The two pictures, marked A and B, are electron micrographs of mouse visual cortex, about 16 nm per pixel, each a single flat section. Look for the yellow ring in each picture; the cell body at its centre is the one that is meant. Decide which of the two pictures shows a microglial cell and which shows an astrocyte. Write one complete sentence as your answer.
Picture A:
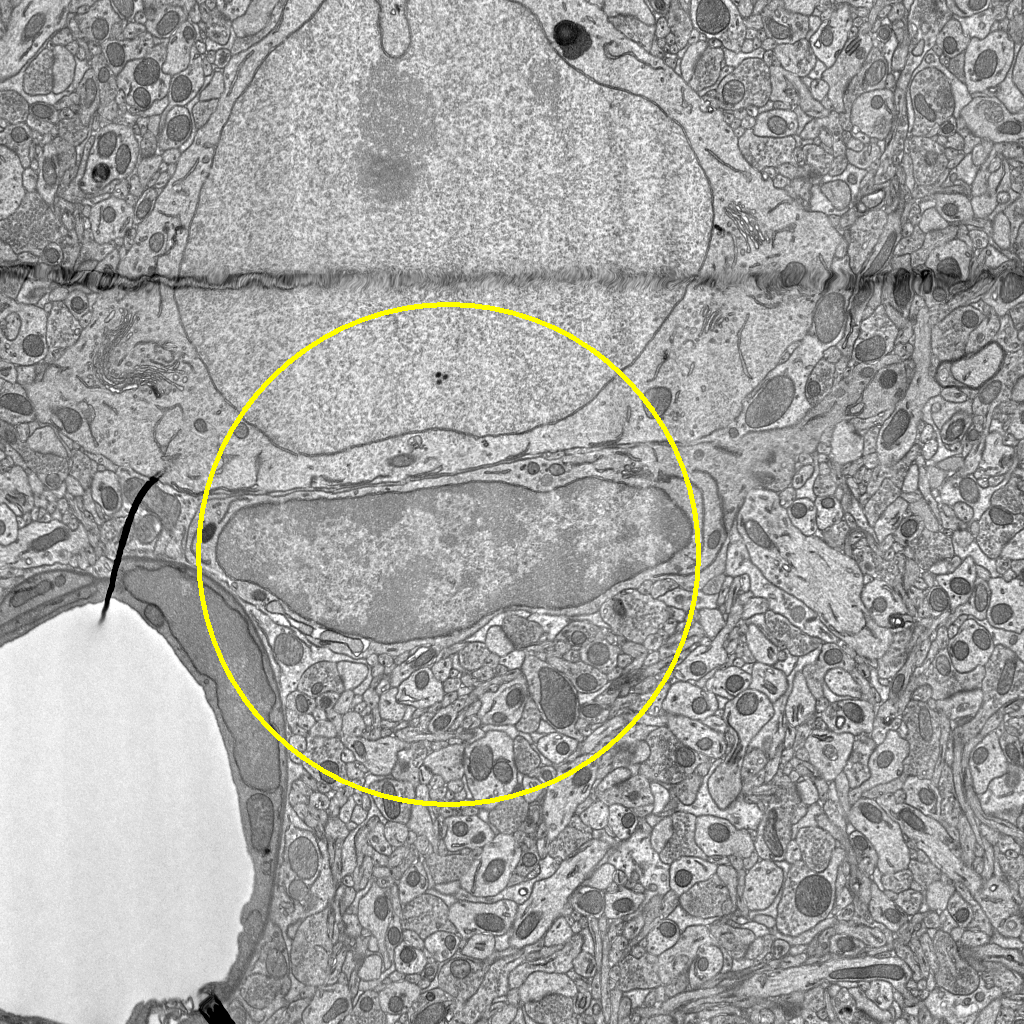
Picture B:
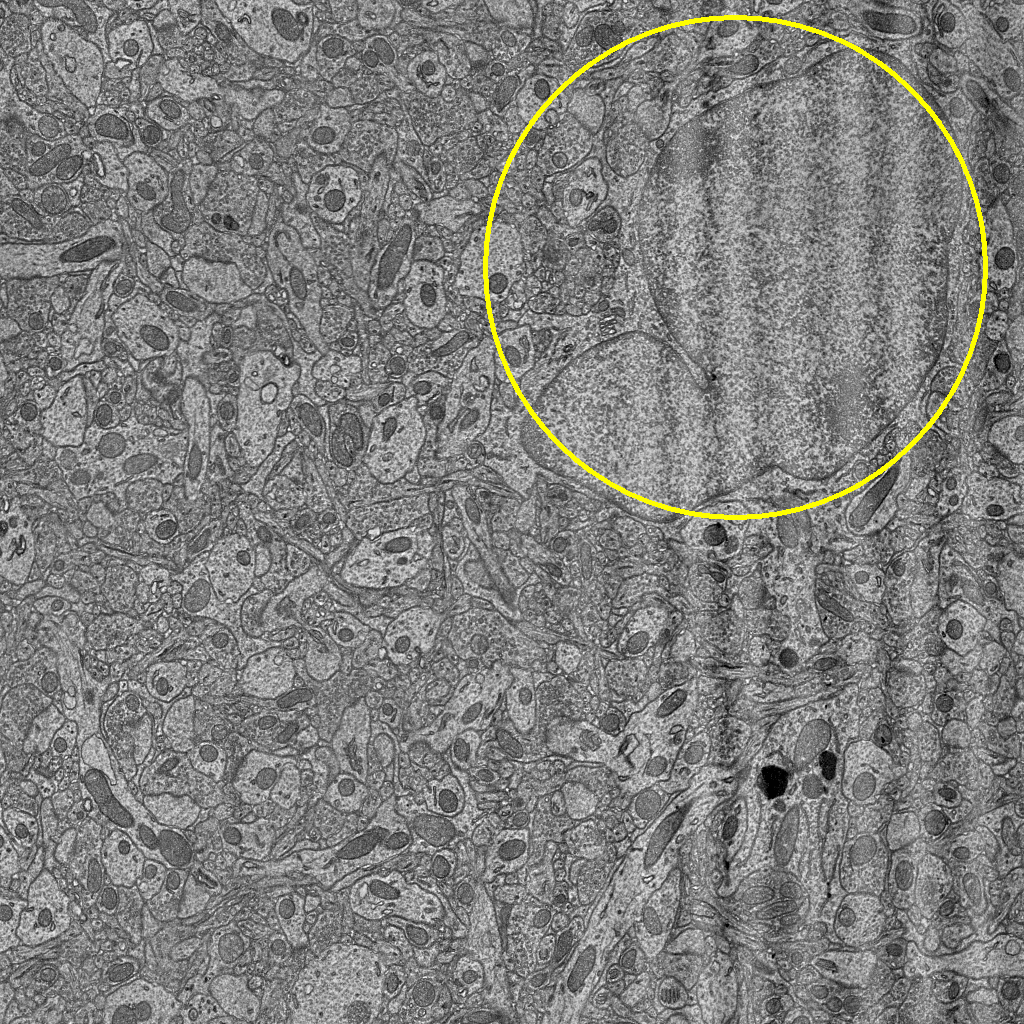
Picture B shows an astrocyte, while picture A shows a microglial cell.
